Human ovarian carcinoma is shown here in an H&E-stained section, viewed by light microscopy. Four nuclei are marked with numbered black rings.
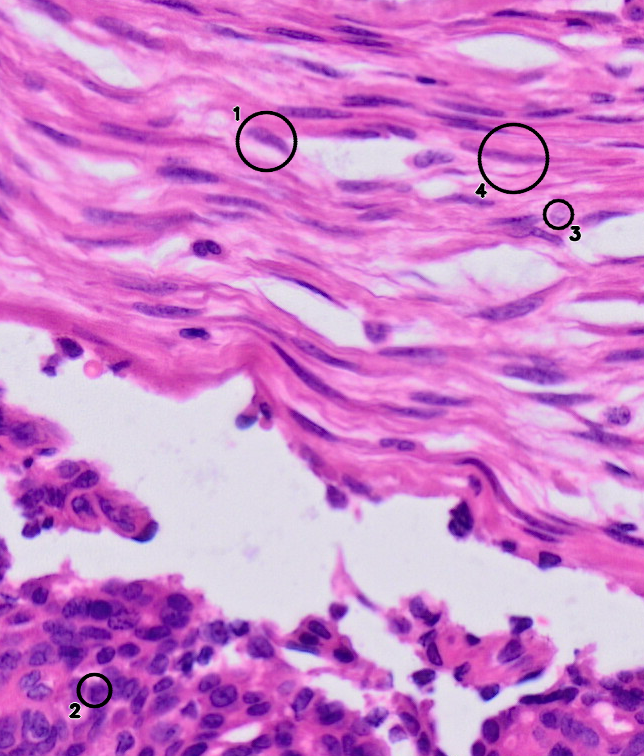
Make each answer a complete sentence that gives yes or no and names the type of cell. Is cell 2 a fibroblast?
No, cell 2 counts as a carcinoma cell rather than as a fibroblast.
